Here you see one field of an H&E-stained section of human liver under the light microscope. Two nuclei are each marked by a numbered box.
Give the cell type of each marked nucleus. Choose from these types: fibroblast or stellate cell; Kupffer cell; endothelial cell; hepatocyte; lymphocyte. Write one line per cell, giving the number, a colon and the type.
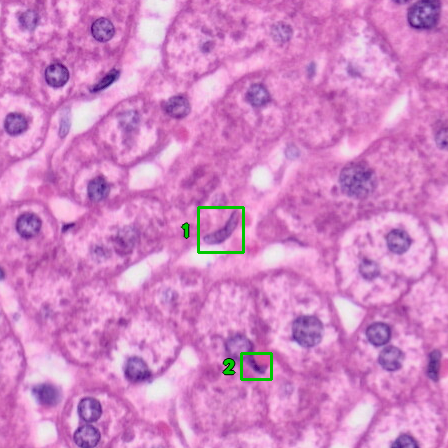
1: Kupffer cell
2: endothelial cell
